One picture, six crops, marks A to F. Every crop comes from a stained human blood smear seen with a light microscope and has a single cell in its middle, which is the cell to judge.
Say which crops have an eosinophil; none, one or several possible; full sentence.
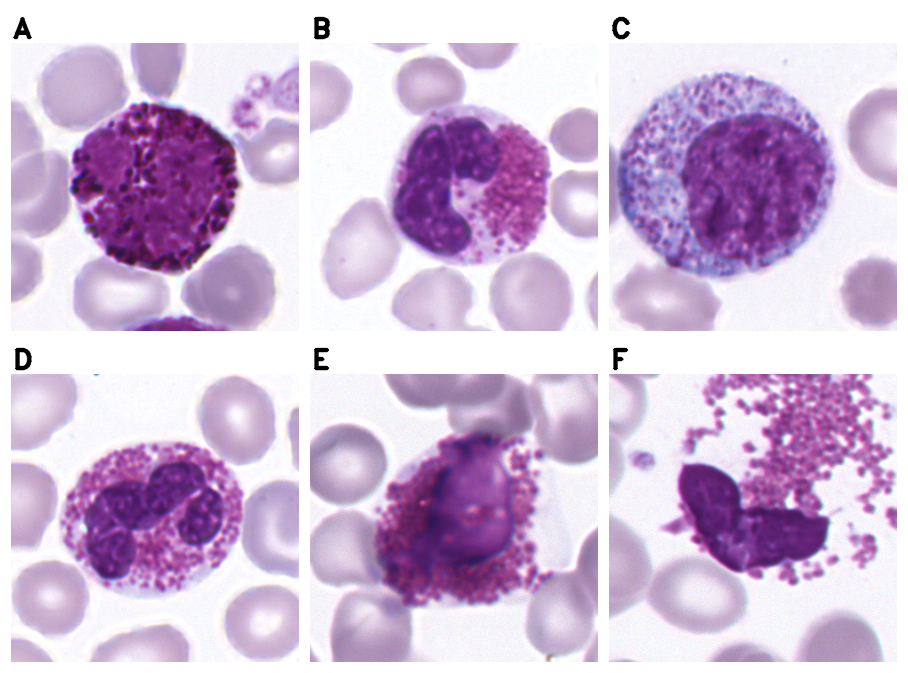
Among the crops, B, D, E and F are those that show eosinophils.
